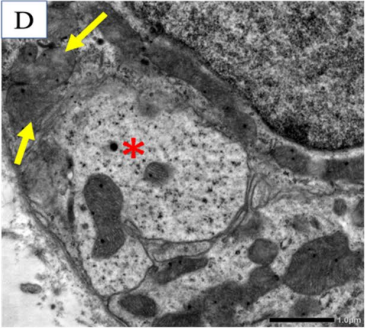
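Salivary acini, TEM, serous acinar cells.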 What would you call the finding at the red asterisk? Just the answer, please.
Cytoplasmic degeneration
